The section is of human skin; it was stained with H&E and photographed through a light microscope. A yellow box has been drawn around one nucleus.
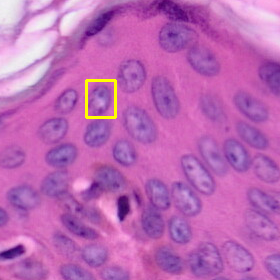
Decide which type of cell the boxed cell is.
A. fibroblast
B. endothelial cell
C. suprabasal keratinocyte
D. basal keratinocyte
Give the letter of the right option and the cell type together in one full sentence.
Option C is the one that fits, as the boxed cell is a suprabasal keratinocyte.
